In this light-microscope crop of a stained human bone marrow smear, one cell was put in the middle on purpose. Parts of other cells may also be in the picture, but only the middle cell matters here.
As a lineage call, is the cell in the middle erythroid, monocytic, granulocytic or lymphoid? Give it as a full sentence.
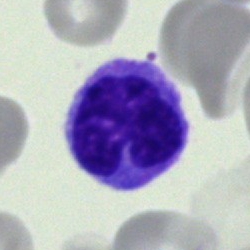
The cell occupying the middle of the crop is classified within the monocytic lineage.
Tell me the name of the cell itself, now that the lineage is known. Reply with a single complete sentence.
The cell sitting right in the middle is a monocyte.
